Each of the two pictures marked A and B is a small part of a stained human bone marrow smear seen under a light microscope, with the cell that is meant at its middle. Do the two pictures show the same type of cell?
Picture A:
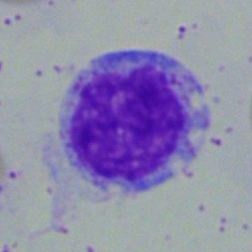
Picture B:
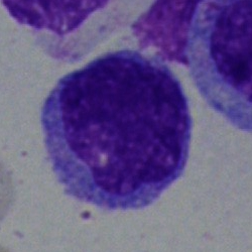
yes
